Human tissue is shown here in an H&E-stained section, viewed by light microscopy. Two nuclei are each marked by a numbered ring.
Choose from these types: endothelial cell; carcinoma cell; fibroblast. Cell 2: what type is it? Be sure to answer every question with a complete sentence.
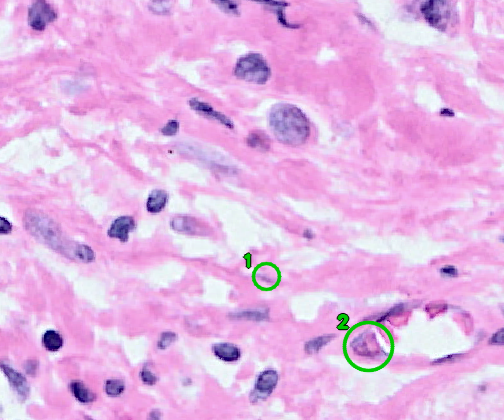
That cell with number 2 is an endothelial cell.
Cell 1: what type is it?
The marked cell with the number 1 is recognised as a fibroblast.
